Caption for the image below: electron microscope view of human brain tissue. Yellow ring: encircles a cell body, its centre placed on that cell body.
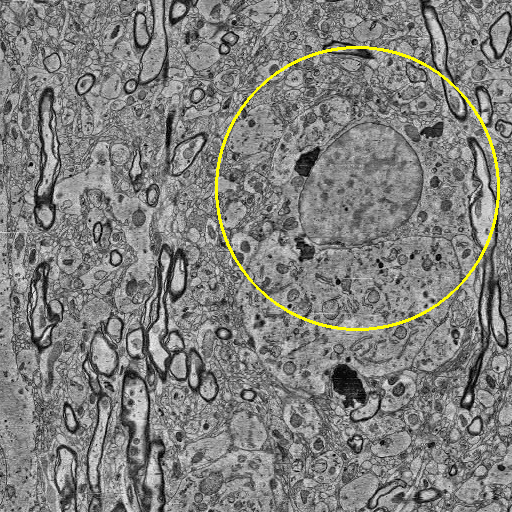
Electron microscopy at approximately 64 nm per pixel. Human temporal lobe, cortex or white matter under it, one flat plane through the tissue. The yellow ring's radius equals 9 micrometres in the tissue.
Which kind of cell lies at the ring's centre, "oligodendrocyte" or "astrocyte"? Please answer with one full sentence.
The picture shows an oligodendrocyte at the centre of the yellow ring.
